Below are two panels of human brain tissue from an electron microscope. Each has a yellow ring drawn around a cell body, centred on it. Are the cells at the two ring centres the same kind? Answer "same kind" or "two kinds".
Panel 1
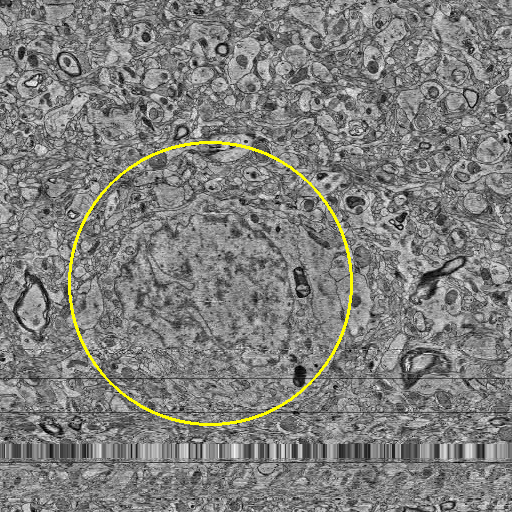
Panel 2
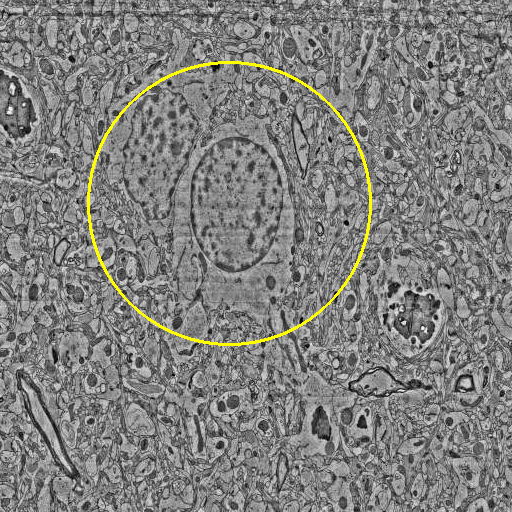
two kinds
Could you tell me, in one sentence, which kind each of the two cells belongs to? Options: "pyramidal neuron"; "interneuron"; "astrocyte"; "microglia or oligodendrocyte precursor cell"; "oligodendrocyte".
At the centre of the first ring sits an interneuron, and at the centre of the second sits an astrocyte.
